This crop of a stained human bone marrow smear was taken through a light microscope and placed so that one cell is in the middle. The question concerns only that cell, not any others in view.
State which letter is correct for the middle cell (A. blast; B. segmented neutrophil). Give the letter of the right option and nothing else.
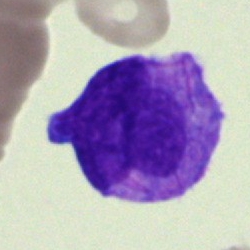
A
